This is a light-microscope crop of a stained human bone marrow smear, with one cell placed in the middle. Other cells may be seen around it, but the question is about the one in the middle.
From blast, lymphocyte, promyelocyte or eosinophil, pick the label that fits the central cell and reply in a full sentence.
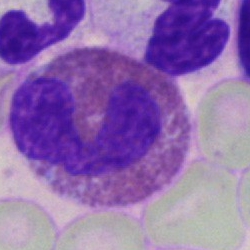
Positioned in the middle of the crop is an eosinophil.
